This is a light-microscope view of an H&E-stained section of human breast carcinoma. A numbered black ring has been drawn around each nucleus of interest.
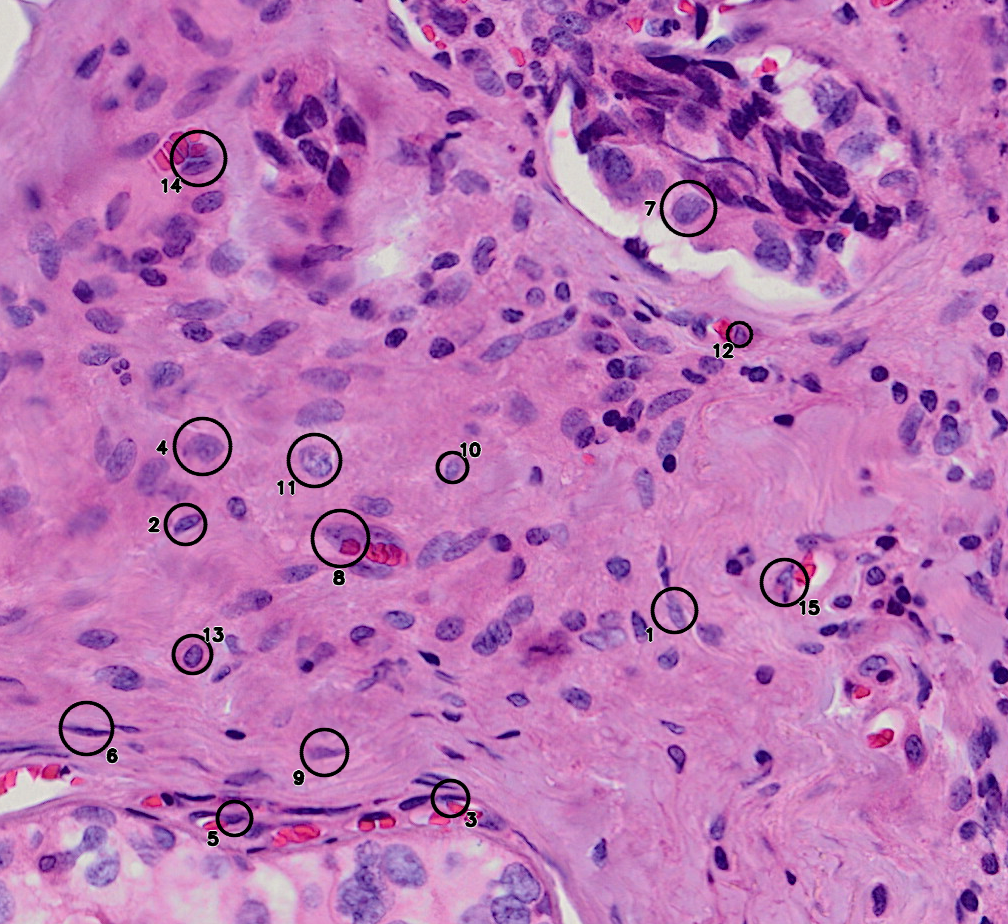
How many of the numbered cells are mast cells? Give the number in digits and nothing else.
1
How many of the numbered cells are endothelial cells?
6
